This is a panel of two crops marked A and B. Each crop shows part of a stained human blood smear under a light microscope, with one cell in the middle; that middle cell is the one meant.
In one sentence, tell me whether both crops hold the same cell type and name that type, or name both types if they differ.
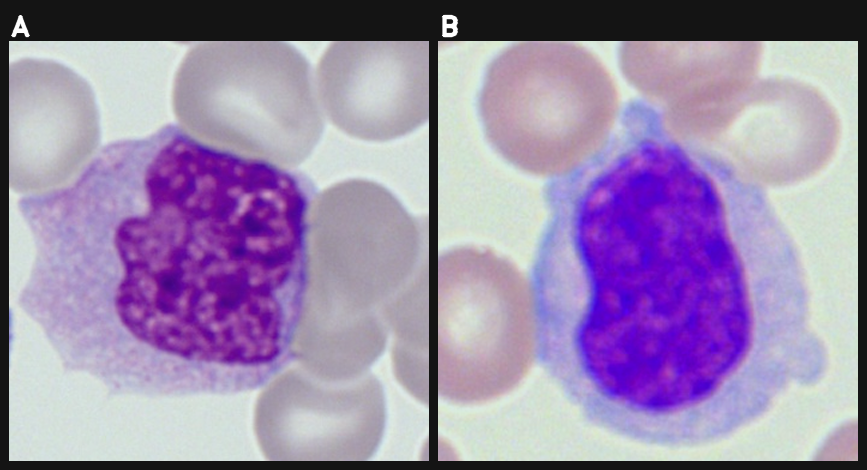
Yes, monocytes lie at the centre of both crops.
